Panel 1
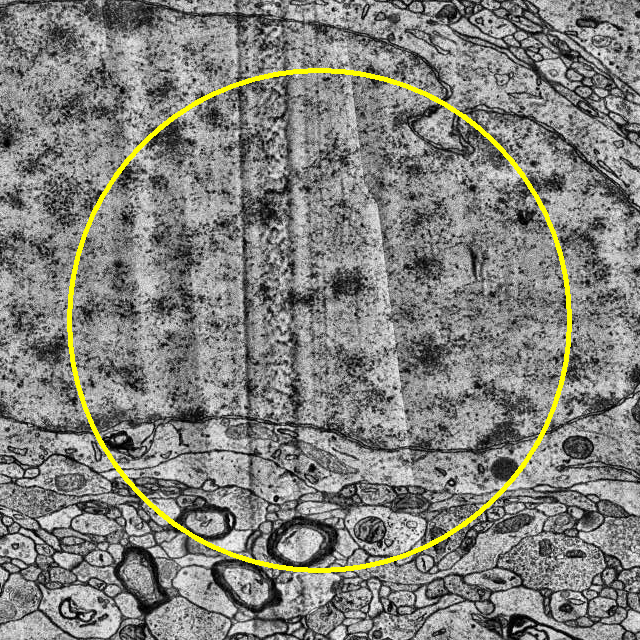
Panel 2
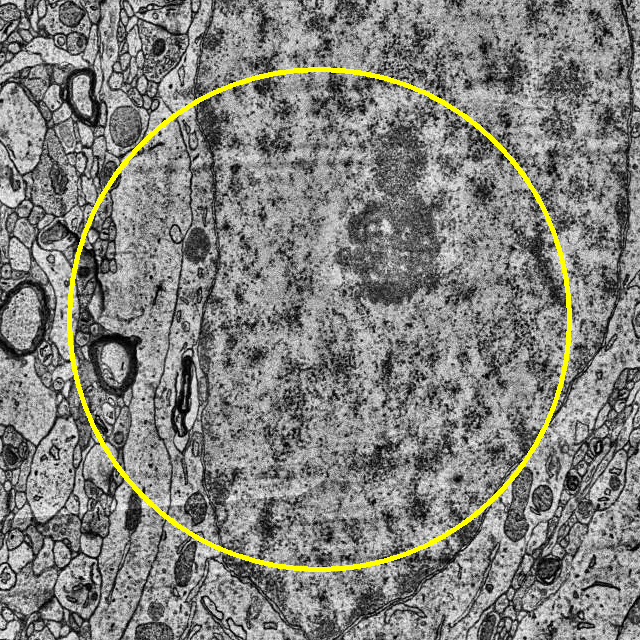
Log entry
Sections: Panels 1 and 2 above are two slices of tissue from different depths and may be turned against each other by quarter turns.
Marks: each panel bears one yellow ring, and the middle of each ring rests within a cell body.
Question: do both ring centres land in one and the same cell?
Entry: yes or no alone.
yes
